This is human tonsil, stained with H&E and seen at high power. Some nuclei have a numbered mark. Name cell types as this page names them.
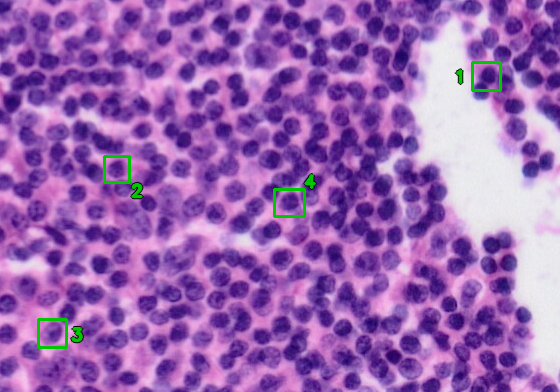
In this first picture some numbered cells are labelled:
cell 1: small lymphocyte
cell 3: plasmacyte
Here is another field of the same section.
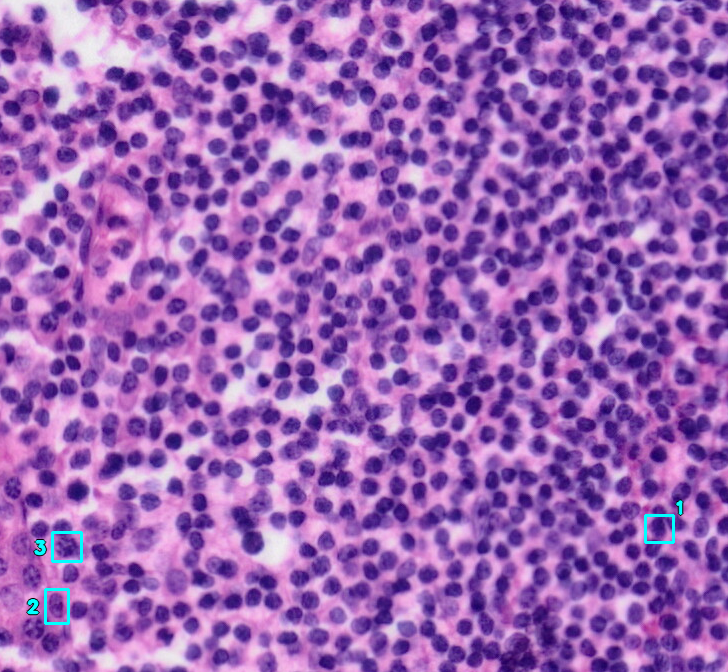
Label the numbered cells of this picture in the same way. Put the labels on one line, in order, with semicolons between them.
small lymphocyte; plasmacyte; plasmacyte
